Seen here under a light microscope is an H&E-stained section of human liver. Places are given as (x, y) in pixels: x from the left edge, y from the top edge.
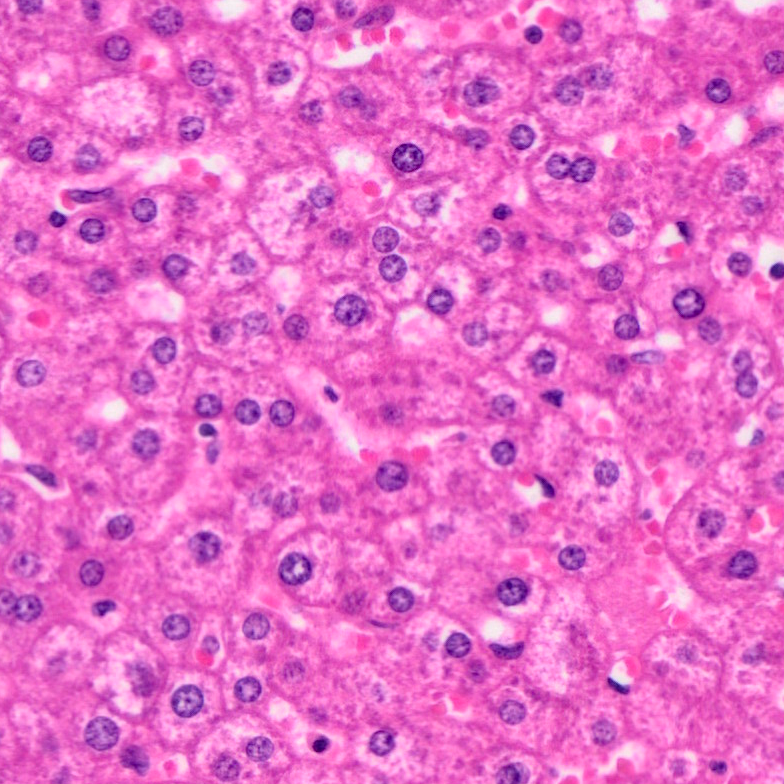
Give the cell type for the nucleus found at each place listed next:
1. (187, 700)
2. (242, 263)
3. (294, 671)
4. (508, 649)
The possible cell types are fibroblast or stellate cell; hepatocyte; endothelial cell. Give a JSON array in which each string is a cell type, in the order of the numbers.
["hepatocyte", "hepatocyte", "hepatocyte", "endothelial cell"]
